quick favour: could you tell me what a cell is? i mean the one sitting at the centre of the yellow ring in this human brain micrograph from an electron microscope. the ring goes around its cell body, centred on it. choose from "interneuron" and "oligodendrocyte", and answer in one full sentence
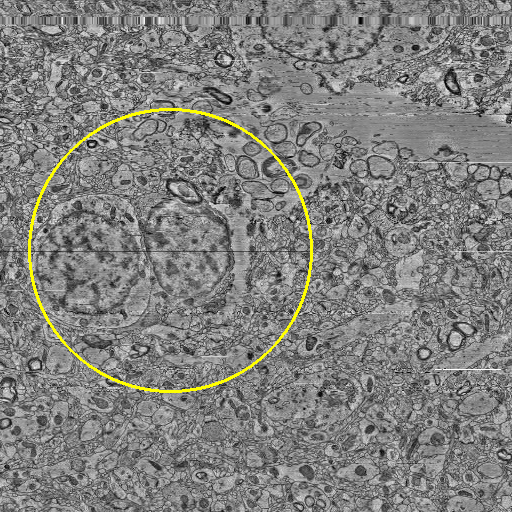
That's an oligodendrocyte, the cell sitting at the centre of the yellow ring.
